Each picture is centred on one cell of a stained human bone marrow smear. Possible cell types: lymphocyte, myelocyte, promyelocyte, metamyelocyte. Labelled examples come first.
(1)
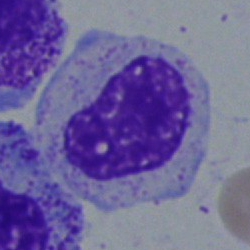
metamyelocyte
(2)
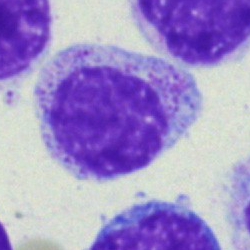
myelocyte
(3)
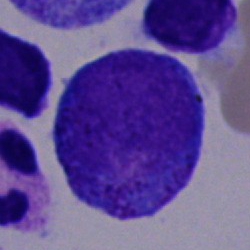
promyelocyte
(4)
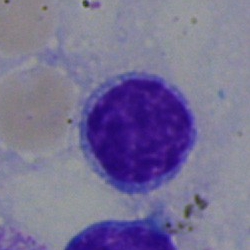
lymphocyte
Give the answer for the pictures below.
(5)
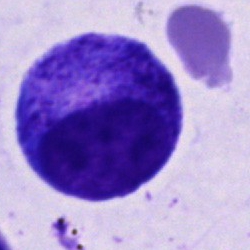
promyelocyte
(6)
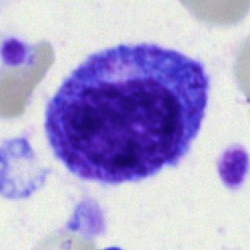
myelocyte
